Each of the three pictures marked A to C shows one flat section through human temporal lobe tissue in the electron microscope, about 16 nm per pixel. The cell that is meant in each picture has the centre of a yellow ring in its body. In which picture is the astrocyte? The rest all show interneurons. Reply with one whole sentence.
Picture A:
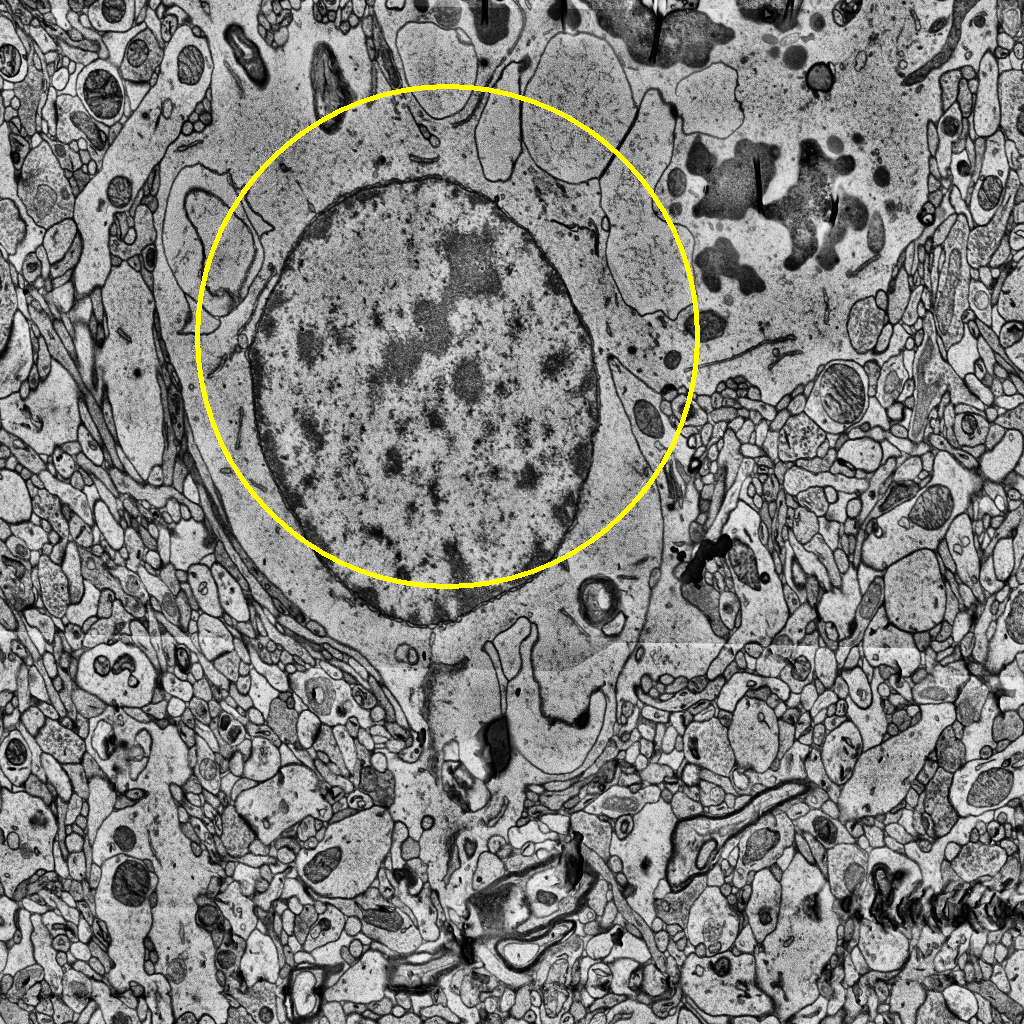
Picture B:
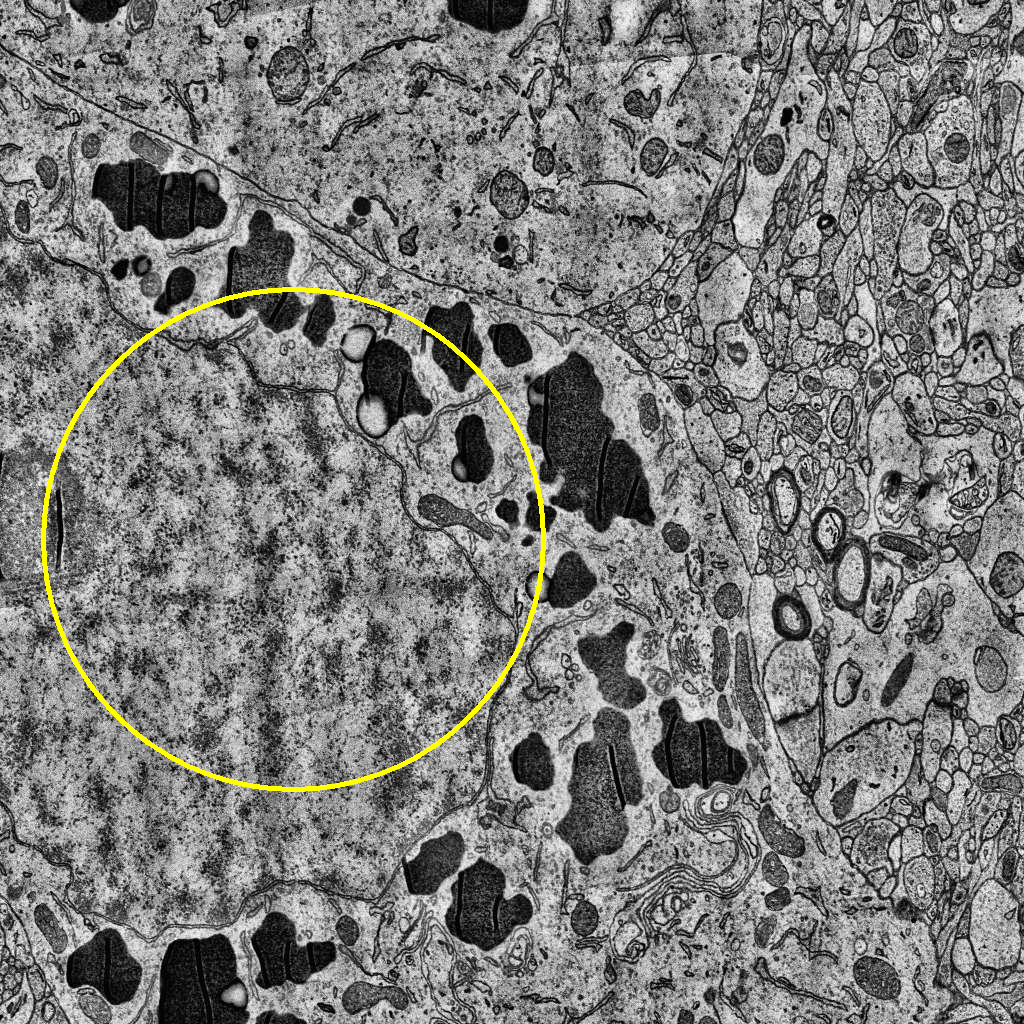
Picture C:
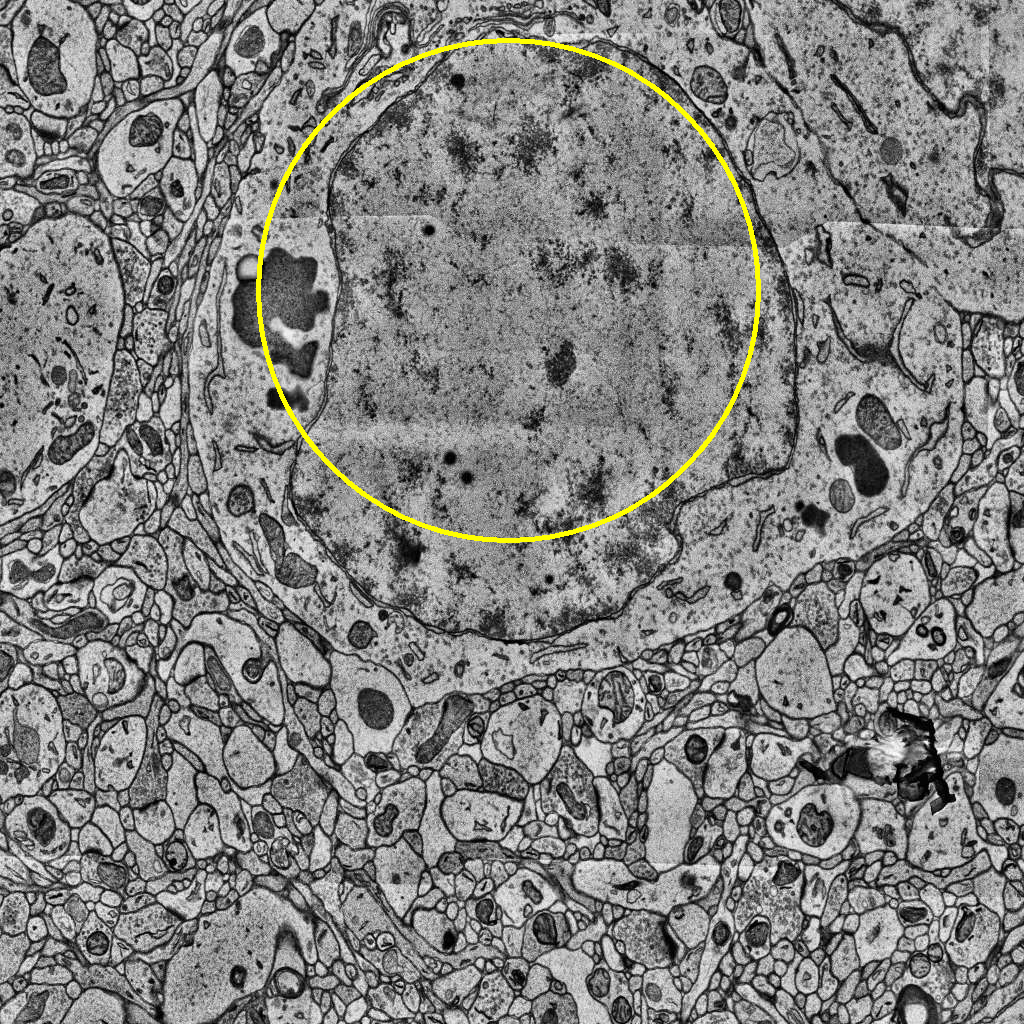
The picture with the astrocyte is A.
